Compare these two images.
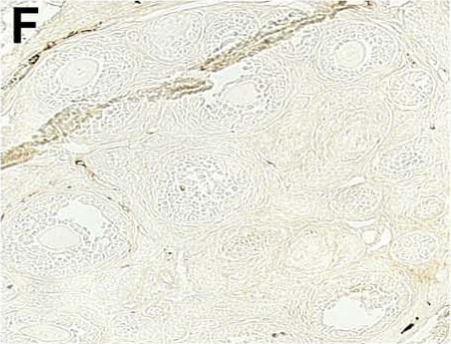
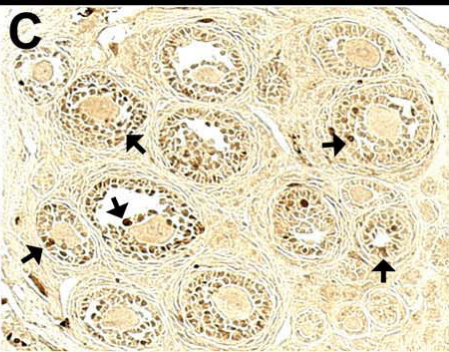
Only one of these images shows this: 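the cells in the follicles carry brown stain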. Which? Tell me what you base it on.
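The second image. Second image: the cells around the central large cells of the follicles are tan to dark brown, some nuclei strongly brown.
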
